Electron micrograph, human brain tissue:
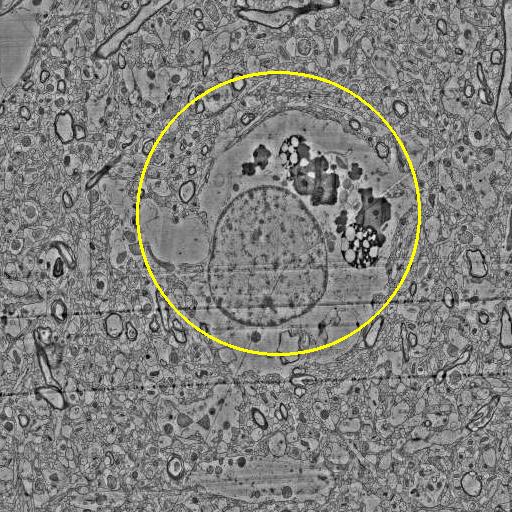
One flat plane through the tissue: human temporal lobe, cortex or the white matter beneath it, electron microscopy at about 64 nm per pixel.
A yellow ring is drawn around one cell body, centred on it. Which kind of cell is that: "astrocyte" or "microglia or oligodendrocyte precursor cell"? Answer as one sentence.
It is an astrocyte at the centre of the ring.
